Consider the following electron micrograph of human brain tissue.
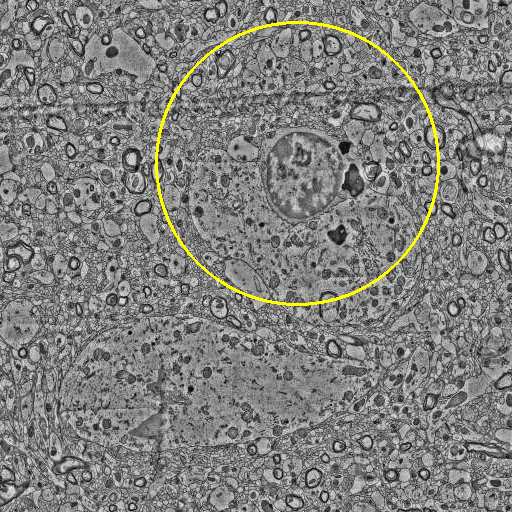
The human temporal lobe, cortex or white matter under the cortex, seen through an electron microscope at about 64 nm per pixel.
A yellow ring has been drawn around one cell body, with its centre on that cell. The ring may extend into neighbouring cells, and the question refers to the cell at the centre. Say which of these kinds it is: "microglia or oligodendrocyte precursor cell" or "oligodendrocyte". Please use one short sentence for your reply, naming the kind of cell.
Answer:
The centre of the ring falls on an oligodendrocyte.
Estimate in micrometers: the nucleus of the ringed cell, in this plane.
The nucleus of the ringed cell is approximately 5 micrometres across in this plane.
